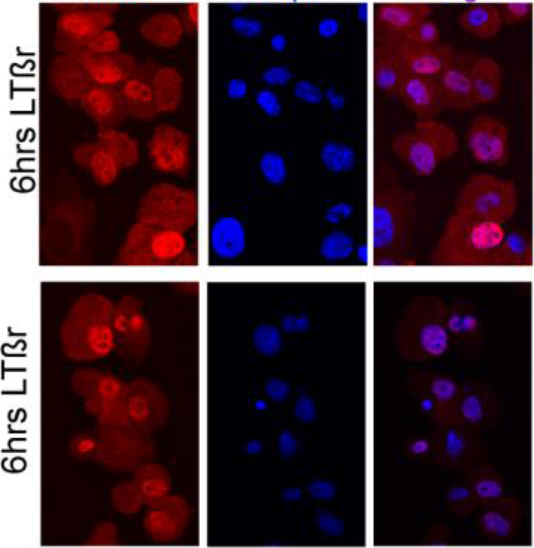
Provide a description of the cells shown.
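The cells lie singly or in small loose groups. They are rounded to polygonal, with a moderate rim of cytoplasm around one oval nucleus. The red stain fills the cytoplasm diffusely. In many cells it is also present, often more intensely, within the nucleus, where it appears granular or speckled. The blue nuclei are oval and differ in size and brightness. In the overlay, nuclei carrying both stains appear pink to purple, while the cytoplasm remains red.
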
